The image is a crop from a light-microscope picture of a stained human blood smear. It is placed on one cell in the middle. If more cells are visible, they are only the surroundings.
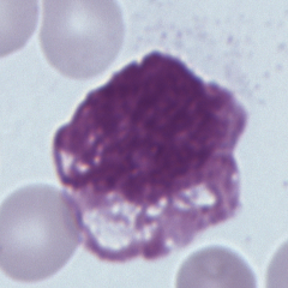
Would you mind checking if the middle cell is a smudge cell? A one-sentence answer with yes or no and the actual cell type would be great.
Yes, the cell shown in the middle is a smudge cell.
